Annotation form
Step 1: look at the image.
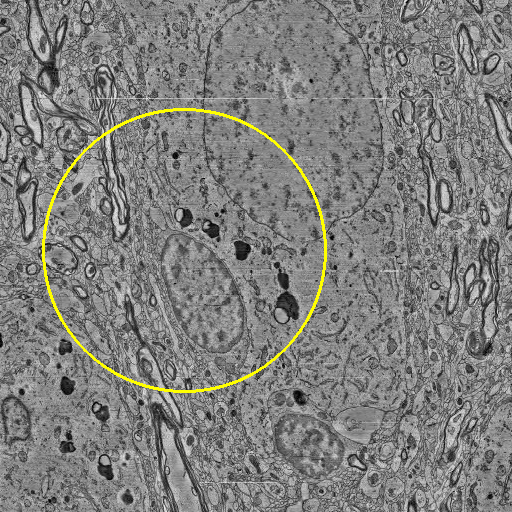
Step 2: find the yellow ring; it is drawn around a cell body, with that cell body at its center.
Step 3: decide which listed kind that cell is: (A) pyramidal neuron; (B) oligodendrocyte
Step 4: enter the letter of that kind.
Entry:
B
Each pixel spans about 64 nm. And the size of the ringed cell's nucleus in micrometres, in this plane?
Approximately 8 by 4 micrometers, which makes the nucleus clearly longer than it is wide in this plane.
